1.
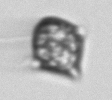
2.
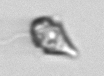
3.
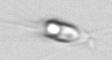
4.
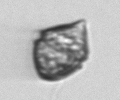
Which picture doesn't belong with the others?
Picture 3.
